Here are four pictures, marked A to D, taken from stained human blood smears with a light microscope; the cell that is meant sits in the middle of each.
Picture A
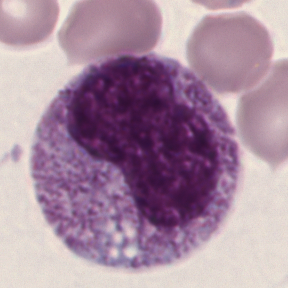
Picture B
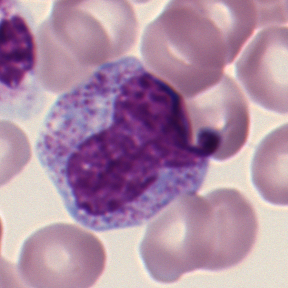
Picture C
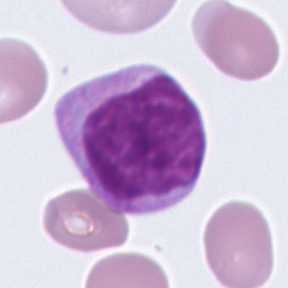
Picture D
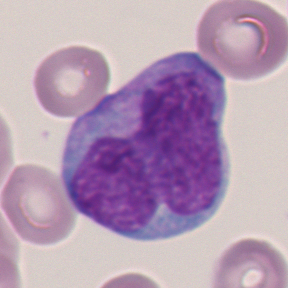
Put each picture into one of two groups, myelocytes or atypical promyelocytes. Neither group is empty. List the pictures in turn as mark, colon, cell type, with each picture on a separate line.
A: myelocyte
B: myelocyte
C: atypical promyelocyte
D: atypical promyelocyte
